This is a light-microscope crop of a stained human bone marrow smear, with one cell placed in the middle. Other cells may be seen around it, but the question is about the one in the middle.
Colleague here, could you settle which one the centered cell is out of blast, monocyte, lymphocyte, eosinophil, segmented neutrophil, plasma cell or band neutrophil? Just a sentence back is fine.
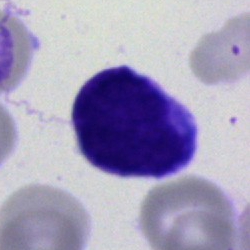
The middle position in this crop is taken by a blast.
